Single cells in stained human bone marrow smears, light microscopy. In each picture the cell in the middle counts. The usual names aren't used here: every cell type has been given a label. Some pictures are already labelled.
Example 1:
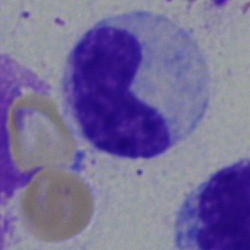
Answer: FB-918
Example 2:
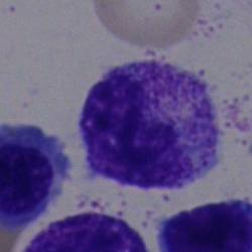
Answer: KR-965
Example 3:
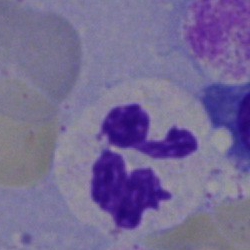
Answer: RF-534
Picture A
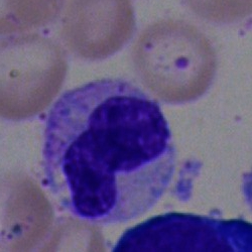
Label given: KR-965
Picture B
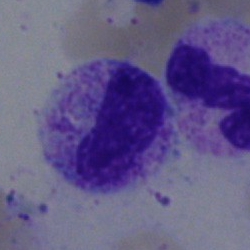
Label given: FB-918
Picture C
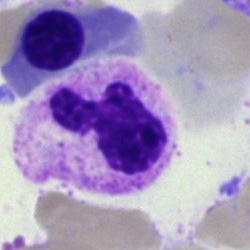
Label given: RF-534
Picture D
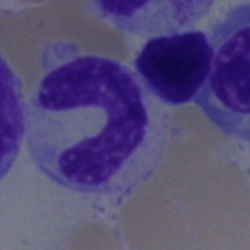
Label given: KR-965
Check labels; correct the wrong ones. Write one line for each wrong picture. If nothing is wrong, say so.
D: not KR-965 but FB-918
